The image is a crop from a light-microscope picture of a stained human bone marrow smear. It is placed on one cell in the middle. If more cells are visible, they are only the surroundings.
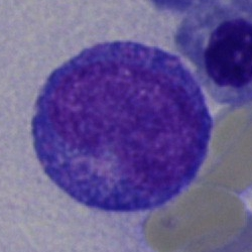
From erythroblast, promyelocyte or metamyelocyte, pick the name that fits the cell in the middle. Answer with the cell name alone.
promyelocyte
